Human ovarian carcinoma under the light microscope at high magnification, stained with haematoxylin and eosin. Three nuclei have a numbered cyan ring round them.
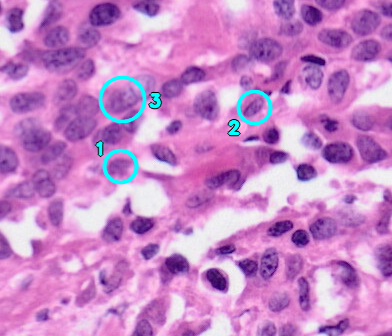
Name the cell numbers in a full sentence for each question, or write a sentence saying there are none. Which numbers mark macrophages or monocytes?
Mind that only cell 2 is a macrophage or monocyte, none of the rest.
